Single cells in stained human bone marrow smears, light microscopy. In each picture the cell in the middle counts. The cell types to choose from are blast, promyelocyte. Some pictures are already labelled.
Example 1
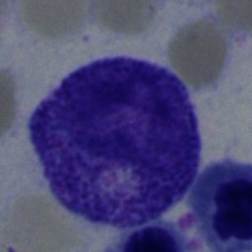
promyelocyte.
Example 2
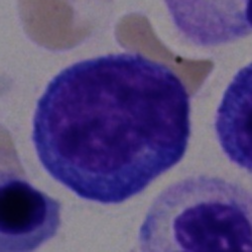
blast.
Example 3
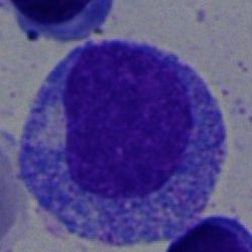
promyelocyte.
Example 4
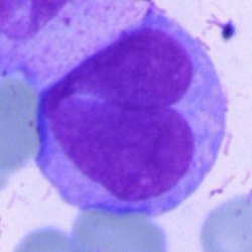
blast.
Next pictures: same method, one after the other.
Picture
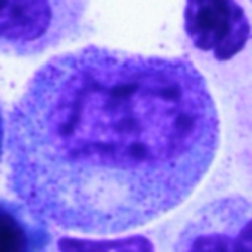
promyelocyte.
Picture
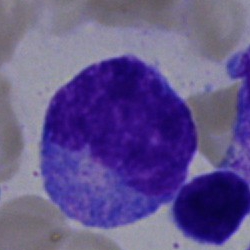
promyelocyte.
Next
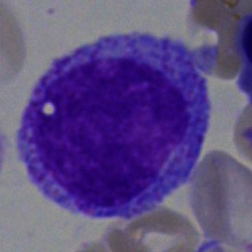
promyelocyte.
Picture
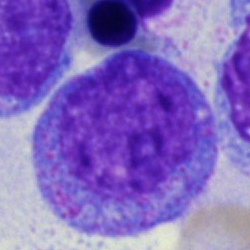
promyelocyte.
